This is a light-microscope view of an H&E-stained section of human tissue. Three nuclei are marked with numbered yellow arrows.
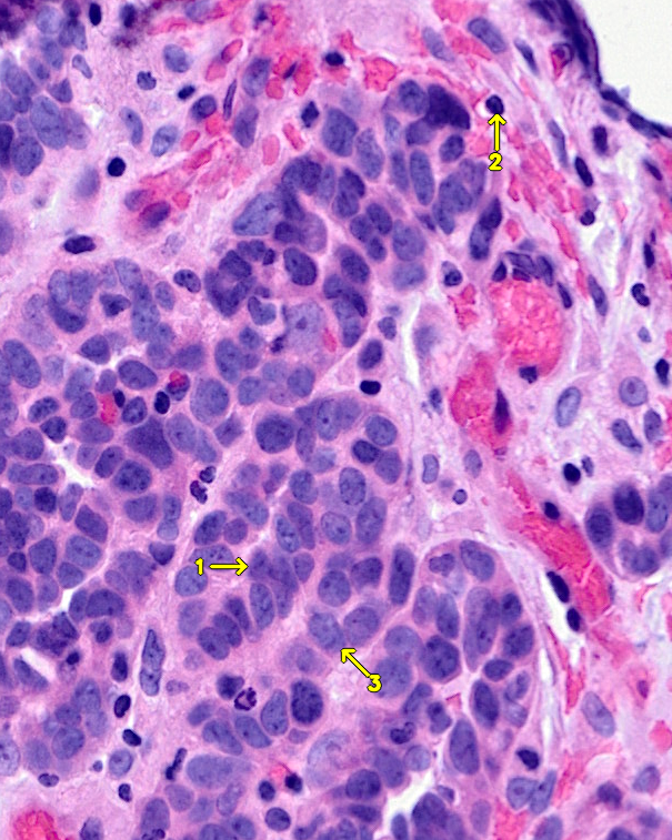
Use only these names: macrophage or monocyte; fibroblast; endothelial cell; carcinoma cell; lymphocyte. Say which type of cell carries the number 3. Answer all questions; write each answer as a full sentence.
In the tissue shown, cell 3 is a carcinoma cell.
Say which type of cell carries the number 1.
The cell identified by number 1 is a carcinoma cell.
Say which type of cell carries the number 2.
The cell that is numbered 2 is a lymphocyte.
